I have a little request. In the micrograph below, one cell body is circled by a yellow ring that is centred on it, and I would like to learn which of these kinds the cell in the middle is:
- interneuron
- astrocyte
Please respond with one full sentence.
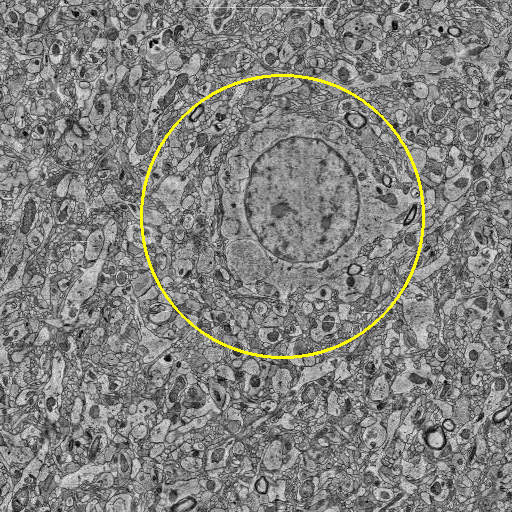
The cell sitting in the middle of the yellow ring in the micrograph is an astrocyte.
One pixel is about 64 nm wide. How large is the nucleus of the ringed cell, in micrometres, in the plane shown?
Approximately 8 x 7 micrometres in this plane.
